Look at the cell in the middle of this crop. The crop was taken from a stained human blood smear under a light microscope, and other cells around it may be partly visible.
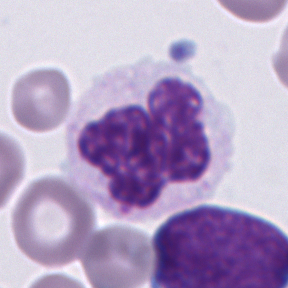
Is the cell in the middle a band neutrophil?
no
